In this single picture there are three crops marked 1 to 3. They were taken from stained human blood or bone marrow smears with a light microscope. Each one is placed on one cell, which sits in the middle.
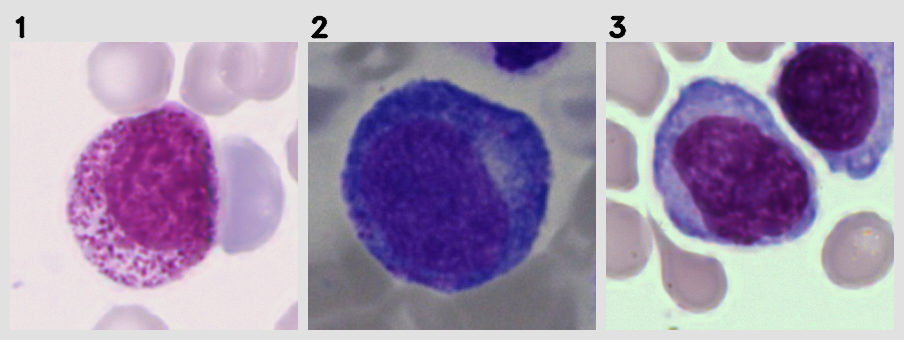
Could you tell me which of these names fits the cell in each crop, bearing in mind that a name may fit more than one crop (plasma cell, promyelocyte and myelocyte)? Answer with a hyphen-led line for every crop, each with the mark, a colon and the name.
- 1: myelocyte
- 2: promyelocyte
- 3: plasma cell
